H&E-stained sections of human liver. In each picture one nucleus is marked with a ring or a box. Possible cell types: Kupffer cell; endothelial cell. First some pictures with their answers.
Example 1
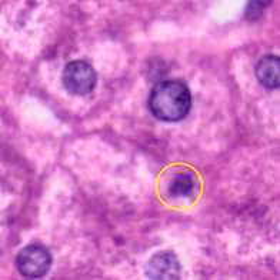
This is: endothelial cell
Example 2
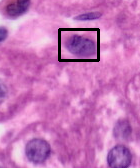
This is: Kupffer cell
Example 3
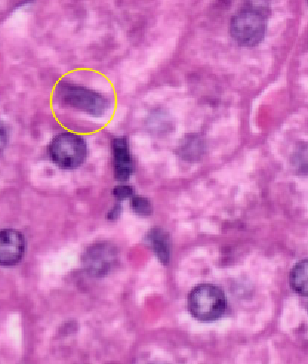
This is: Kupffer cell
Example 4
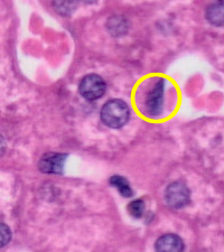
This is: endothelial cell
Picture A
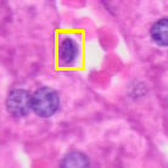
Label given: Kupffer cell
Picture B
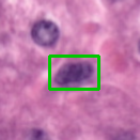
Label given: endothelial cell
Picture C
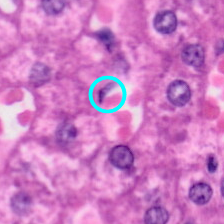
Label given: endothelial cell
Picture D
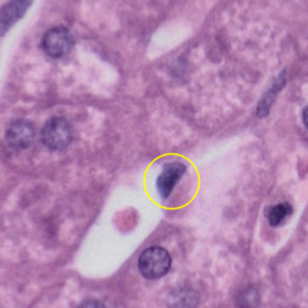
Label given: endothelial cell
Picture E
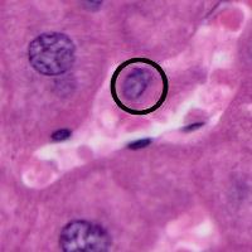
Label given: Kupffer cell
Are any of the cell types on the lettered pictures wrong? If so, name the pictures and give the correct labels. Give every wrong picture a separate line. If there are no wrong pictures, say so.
B should be Kupffer cell, not endothelial cell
